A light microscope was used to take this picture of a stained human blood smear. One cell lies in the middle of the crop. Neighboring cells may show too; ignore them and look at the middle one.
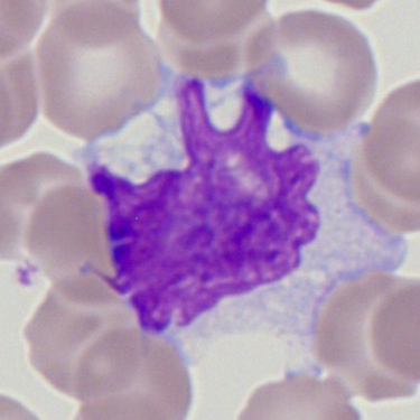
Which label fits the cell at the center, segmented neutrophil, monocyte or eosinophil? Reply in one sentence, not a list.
The central element of this crop is a cell, namely a monocyte.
